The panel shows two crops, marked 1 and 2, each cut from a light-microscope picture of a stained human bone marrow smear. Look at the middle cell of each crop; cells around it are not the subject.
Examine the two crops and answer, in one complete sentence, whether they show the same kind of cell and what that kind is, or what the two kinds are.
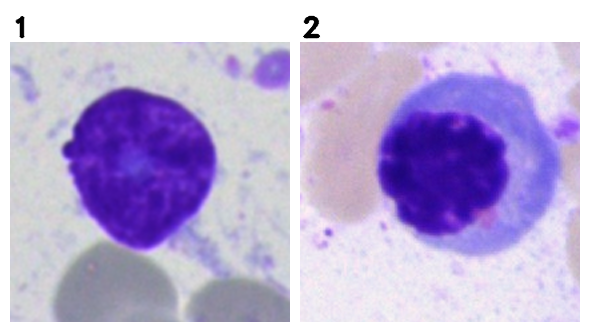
No, a lymphocyte is what occupies crop 1, and an erythroblast is what occupies crop 2.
